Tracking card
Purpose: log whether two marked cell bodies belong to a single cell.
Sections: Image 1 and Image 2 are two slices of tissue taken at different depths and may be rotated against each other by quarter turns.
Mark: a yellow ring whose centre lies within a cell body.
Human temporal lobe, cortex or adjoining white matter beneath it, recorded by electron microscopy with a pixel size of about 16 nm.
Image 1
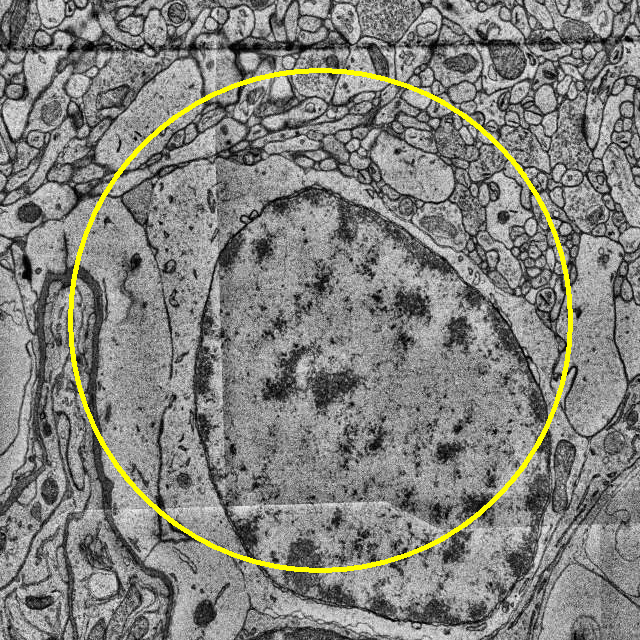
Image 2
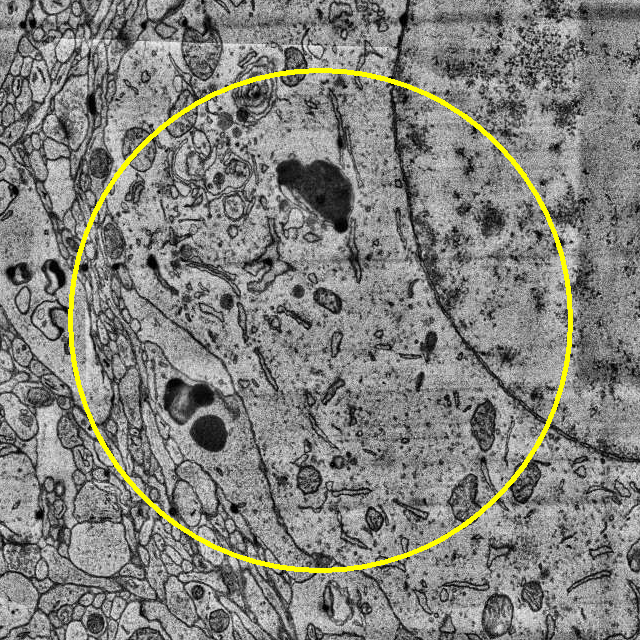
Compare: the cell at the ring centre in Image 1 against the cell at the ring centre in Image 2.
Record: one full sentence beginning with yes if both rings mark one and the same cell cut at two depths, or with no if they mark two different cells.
No, the rings surround different cells rather than one cell.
